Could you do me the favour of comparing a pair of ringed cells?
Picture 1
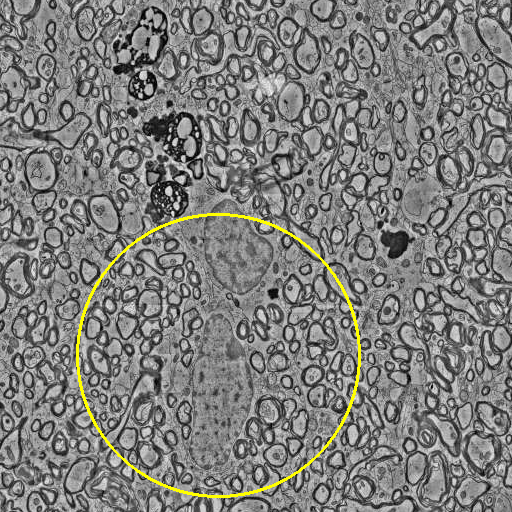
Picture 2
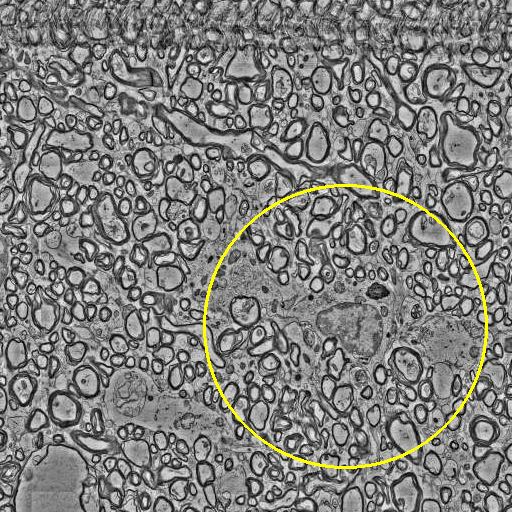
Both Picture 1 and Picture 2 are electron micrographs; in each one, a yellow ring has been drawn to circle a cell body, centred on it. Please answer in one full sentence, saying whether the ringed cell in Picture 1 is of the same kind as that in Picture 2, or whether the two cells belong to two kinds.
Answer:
The ringed cell in Picture 1 is of the same kind as that in Picture 2.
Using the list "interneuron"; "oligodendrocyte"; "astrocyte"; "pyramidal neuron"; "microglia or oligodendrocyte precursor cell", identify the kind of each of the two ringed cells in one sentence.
In both pictures the ring is centred on a microglial cell or oligodendrocyte precursor cell.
